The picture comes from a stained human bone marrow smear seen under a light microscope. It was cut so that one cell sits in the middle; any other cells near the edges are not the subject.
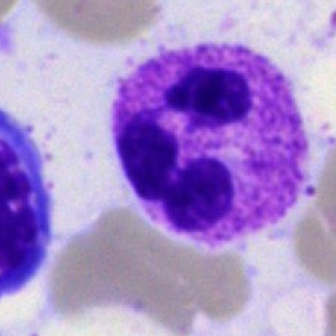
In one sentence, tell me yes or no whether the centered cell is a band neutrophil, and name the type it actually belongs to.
No, the cell occupying the centre is a segmented neutrophil, not a band neutrophil.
